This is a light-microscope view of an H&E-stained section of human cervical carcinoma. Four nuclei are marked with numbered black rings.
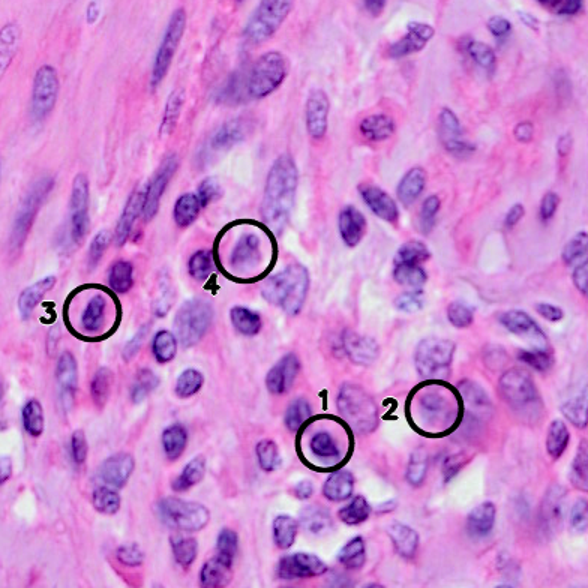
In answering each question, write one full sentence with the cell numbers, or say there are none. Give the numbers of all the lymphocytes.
The cells that bear the numbers 1, 3 and 4 are lymphocytes.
